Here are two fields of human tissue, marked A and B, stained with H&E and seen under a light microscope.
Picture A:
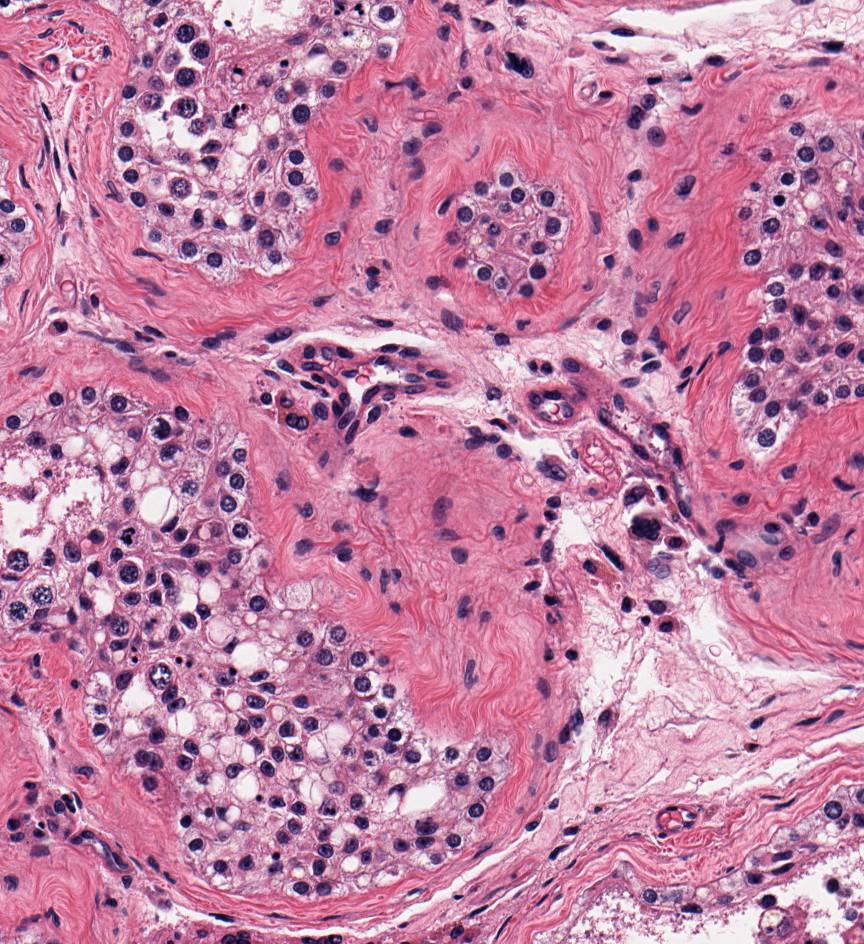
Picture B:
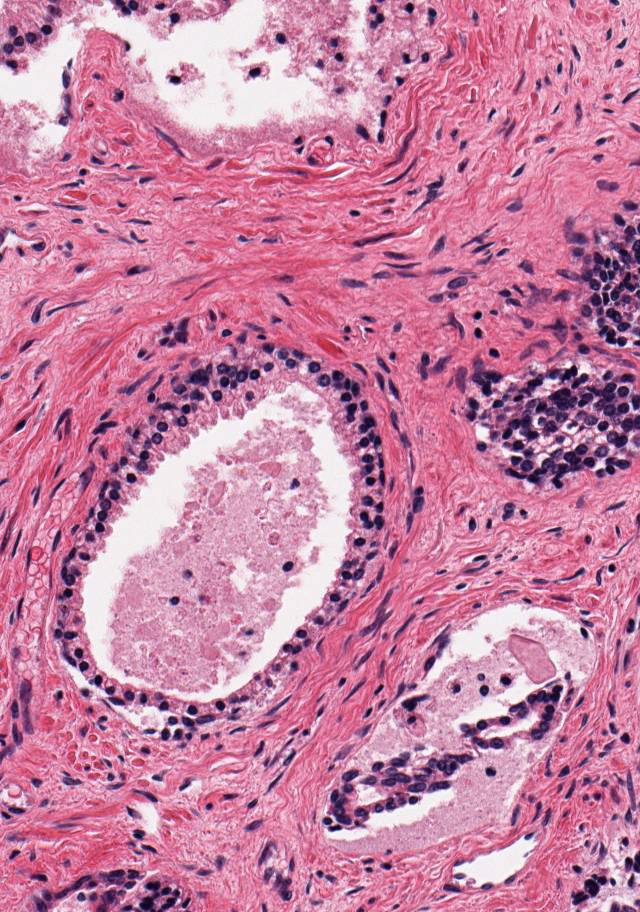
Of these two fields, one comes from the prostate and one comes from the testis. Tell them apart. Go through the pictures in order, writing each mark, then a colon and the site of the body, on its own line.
A: testis
B: prostate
